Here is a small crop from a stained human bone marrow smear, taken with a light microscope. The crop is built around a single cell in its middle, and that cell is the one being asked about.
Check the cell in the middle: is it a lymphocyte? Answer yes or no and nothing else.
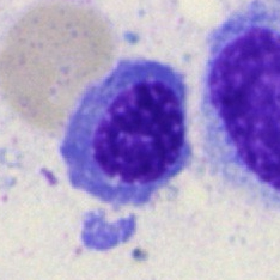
no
